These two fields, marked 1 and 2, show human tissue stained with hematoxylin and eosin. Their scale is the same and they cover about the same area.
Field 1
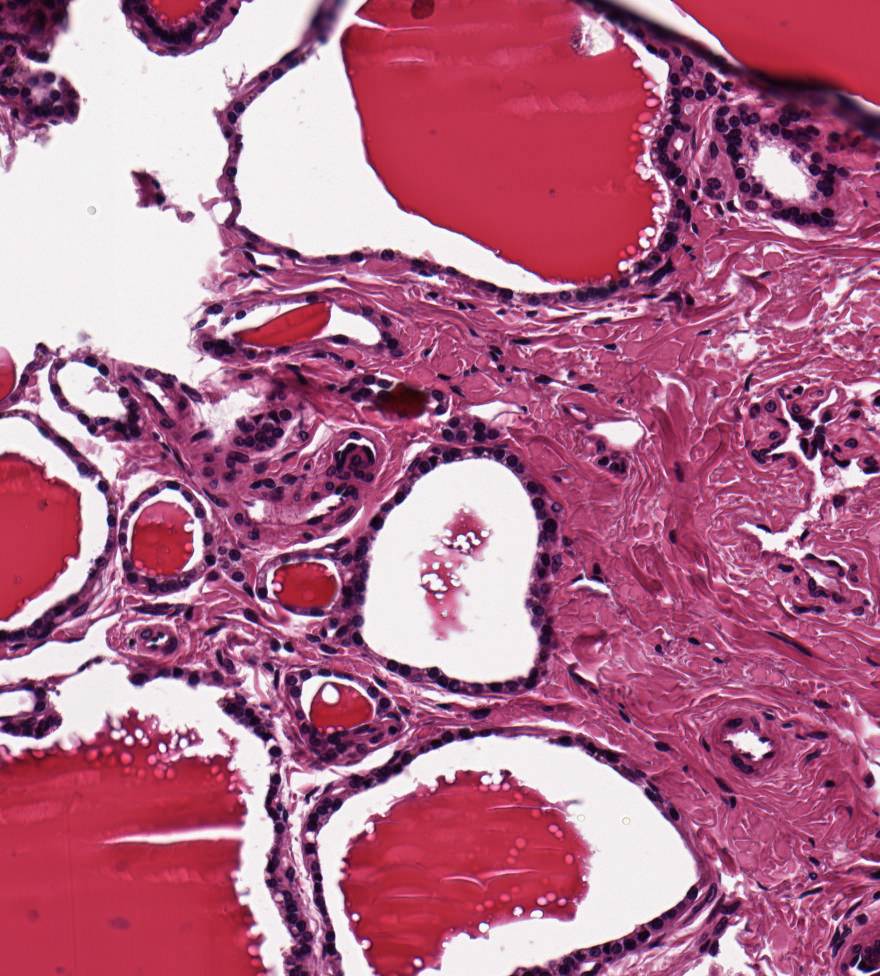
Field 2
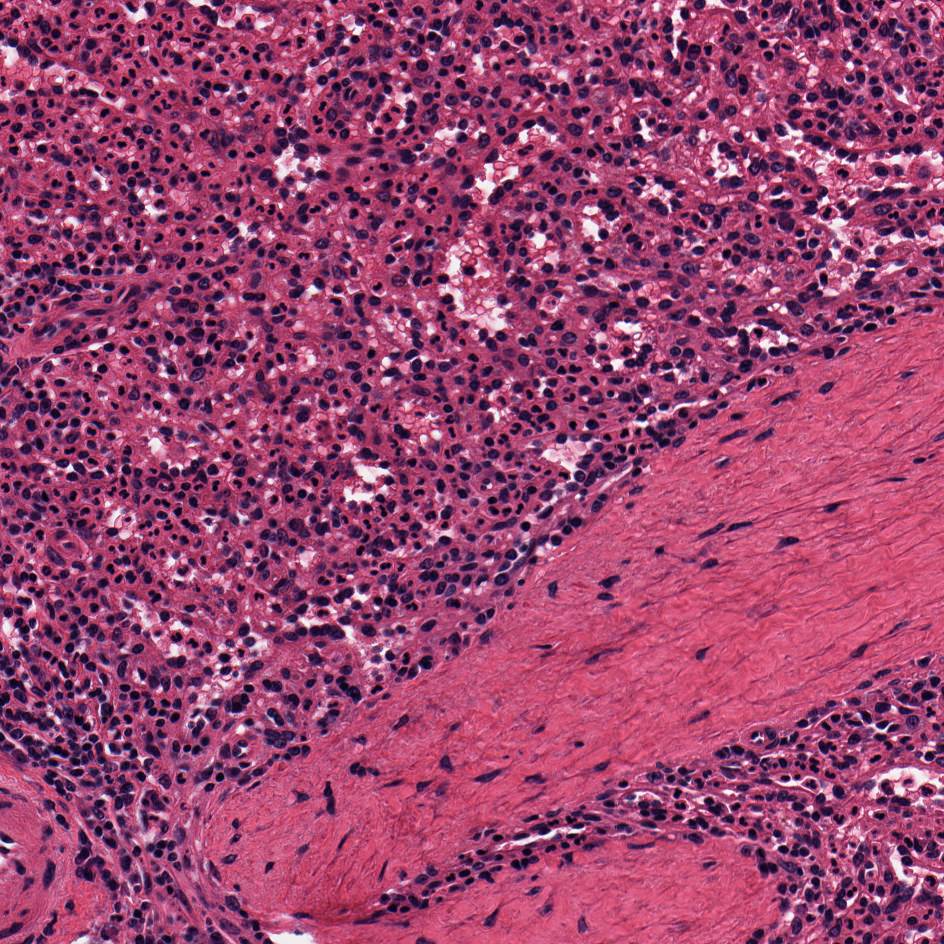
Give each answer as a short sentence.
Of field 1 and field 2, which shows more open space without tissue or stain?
Field 1 has more white space.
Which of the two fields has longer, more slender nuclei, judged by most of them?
On the whole the nuclei of field 1 are more drawn out than those of field 2.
